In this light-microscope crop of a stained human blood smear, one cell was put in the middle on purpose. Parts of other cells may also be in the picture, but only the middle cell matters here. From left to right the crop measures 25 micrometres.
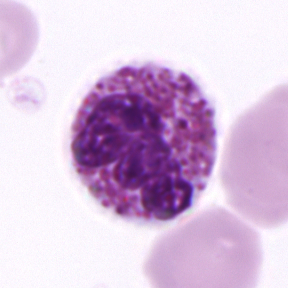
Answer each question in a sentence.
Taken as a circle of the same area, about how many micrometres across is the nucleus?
Taken as a circle, the nucleus has a diameter of about 9 micrometres.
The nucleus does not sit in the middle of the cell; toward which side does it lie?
It is shifted toward the lower left of the cell.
